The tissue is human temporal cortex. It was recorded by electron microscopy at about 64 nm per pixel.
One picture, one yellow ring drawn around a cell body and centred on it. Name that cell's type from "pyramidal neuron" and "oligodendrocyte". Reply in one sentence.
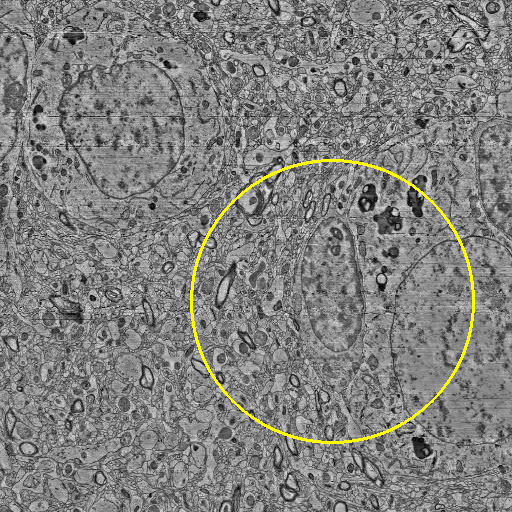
Centred in the ring is an oligodendrocyte.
